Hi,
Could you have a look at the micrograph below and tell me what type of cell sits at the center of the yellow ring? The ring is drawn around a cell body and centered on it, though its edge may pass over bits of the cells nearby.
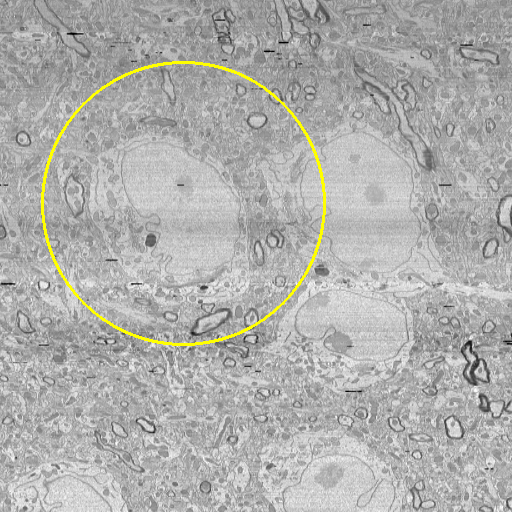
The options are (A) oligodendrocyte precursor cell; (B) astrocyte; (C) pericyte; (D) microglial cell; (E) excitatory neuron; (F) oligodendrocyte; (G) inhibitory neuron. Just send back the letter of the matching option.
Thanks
G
